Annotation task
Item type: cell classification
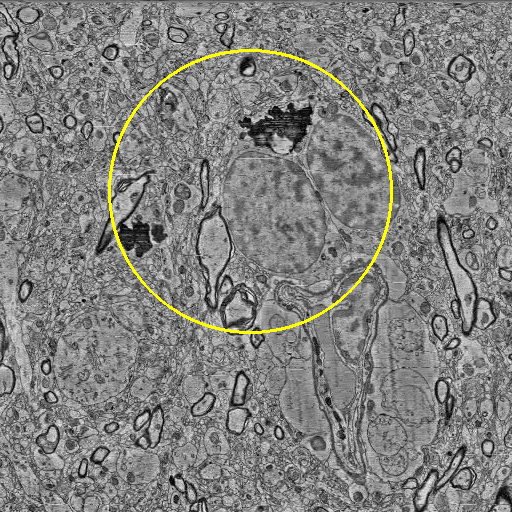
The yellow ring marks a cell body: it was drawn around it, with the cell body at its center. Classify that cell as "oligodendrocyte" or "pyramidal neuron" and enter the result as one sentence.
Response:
The ring's center falls on an oligodendrocyte.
